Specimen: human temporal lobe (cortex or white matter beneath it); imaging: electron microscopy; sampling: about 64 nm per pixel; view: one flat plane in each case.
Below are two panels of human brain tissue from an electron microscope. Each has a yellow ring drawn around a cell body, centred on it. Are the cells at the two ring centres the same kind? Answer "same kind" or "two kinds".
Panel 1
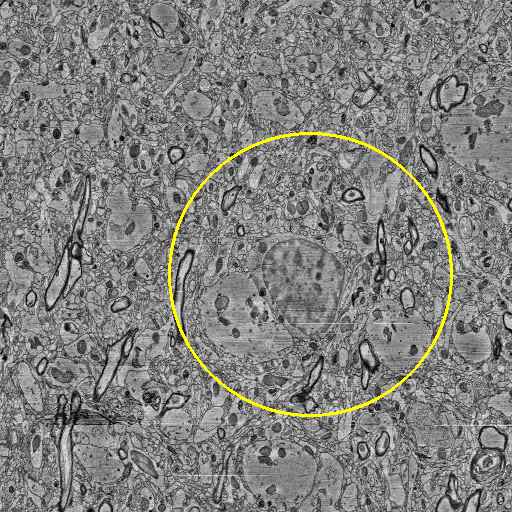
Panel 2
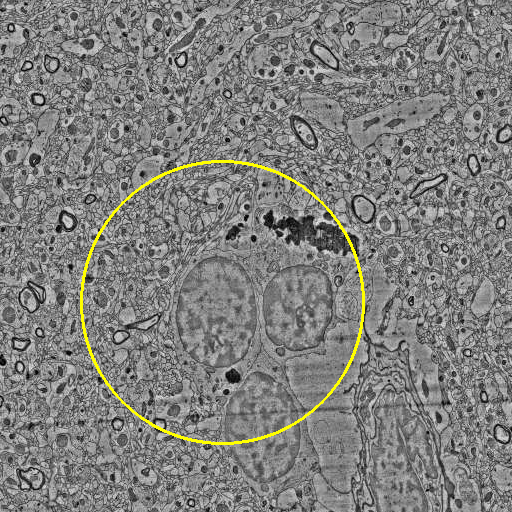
same kind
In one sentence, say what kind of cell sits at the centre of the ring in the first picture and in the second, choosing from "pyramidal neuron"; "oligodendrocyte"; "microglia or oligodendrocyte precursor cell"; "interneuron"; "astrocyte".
In the first picture and in the second, the ring is centred on an oligodendrocyte.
